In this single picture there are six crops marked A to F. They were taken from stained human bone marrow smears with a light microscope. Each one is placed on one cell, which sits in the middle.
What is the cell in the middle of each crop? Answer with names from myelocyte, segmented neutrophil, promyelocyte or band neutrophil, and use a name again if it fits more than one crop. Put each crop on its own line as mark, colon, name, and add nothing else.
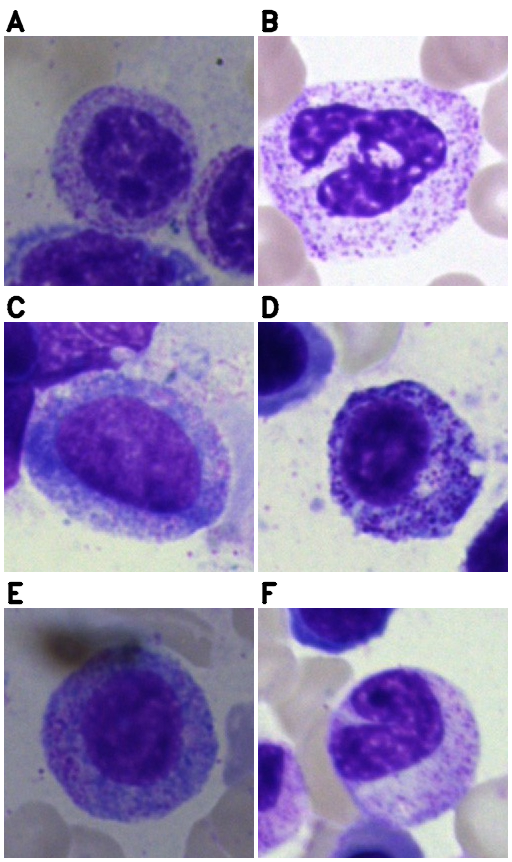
A: myelocyte
B: segmented neutrophil
C: promyelocyte
D: myelocyte
E: myelocyte
F: band neutrophil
